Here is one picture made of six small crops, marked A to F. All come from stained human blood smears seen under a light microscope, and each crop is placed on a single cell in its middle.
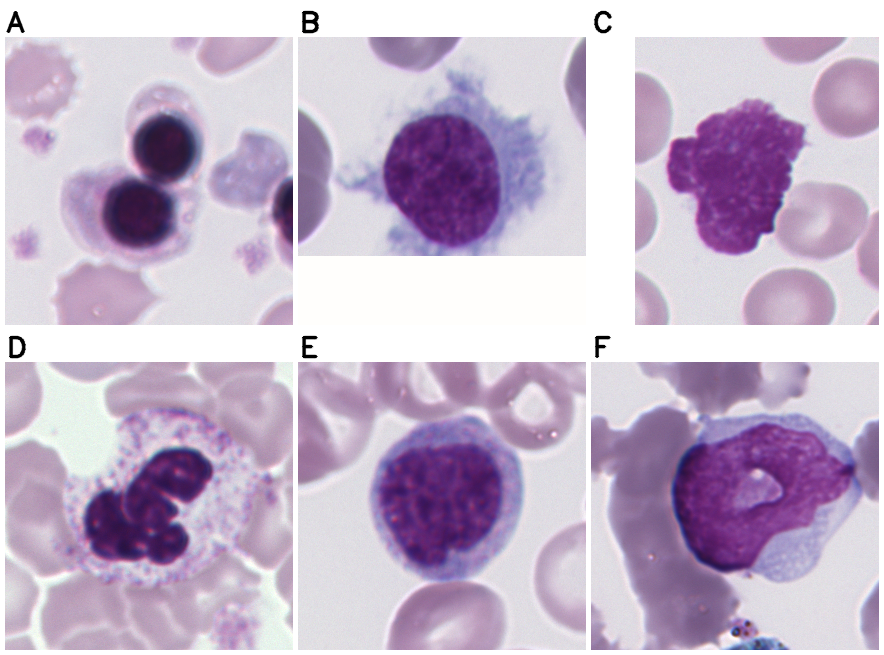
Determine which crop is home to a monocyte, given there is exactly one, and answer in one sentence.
The one that shows a monocyte is crop E.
